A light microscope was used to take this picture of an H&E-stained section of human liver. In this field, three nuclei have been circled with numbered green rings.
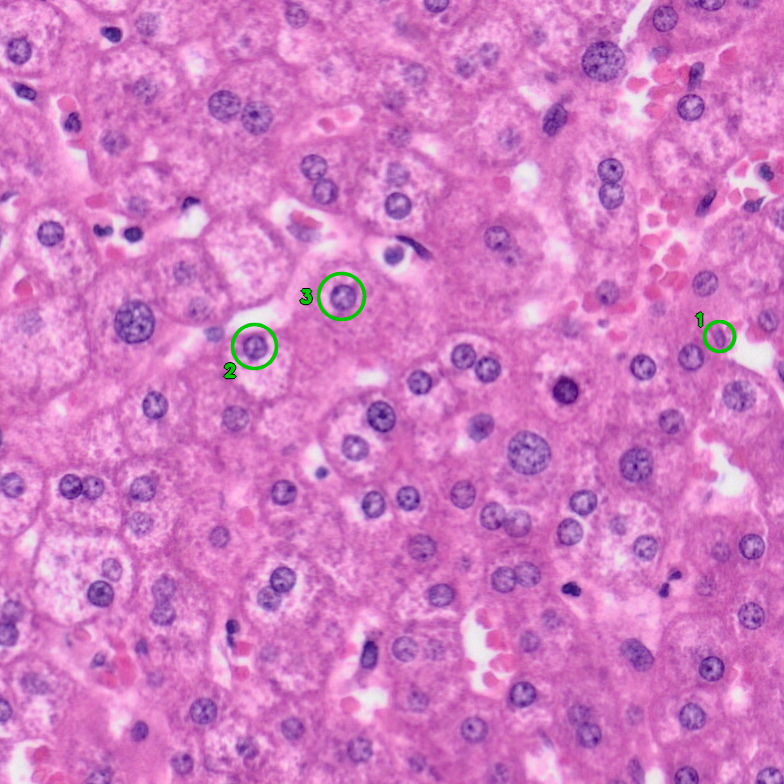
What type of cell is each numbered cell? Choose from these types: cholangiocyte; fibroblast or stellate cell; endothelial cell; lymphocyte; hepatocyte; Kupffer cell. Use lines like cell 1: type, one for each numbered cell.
cell 1: Kupffer cell
cell 2: hepatocyte
cell 3: hepatocyte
